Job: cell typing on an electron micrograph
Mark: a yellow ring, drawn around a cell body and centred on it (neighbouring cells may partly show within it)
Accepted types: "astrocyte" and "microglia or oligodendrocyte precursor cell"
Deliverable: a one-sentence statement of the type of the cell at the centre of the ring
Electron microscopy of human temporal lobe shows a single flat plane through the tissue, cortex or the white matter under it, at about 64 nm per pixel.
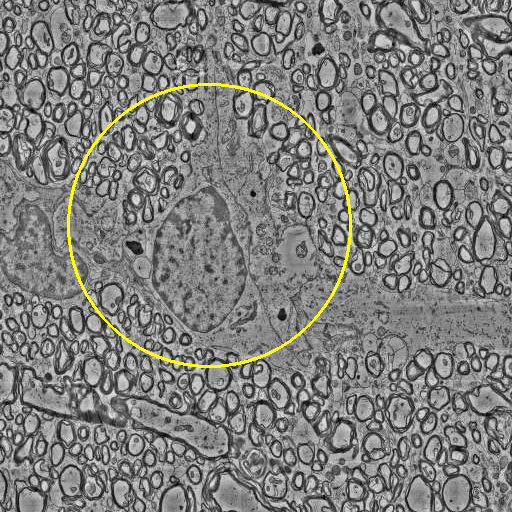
The centred cell body is that of a microglial cell or oligodendrocyte precursor cell.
